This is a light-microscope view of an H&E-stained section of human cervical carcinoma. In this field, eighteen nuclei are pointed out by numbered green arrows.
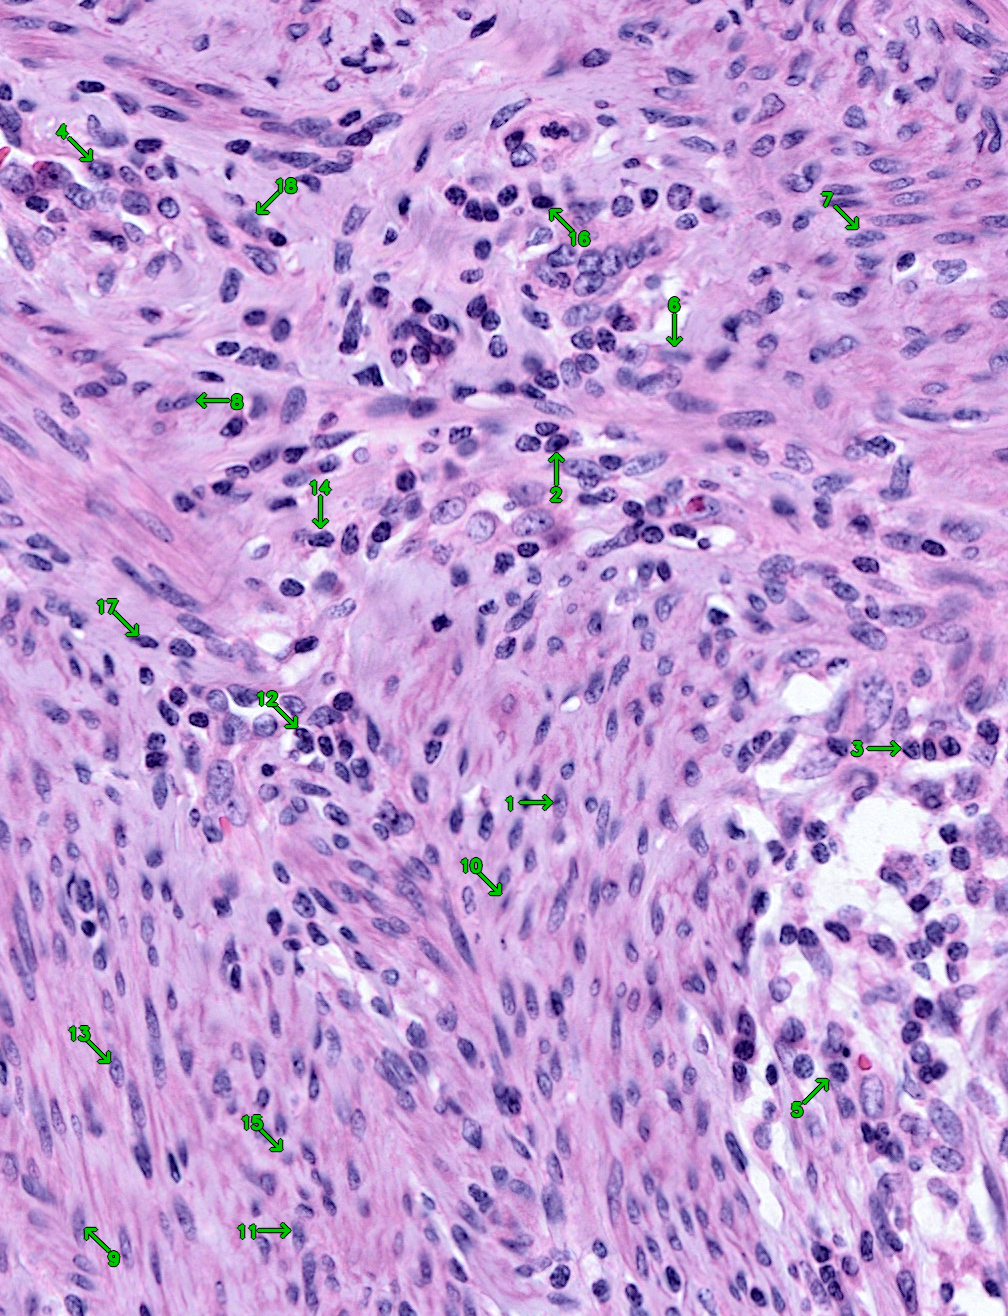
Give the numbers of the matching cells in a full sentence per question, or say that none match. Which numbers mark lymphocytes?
When it comes to cells 2, 3, 5, 12, 14 and 16, they are lymphocytes.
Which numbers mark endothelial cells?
Classified as endothelial cells are the cells numbered 4 and 18.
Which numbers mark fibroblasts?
The cells carrying labels 6 and 17 are fibroblasts.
